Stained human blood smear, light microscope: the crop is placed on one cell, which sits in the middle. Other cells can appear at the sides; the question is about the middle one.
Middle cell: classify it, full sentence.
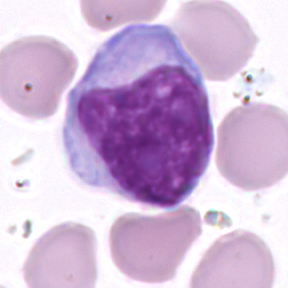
Regarding the central cell, it is a plasma cell.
